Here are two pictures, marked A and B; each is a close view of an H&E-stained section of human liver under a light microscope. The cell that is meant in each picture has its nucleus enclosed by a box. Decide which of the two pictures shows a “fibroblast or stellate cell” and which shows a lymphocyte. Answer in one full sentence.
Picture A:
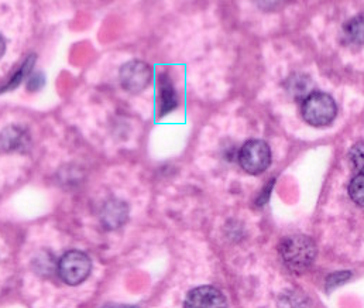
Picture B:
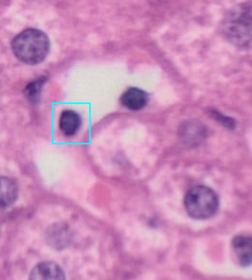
In picture A the cell is a “fibroblast or stellate cell”; in picture B, a lymphocyte.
